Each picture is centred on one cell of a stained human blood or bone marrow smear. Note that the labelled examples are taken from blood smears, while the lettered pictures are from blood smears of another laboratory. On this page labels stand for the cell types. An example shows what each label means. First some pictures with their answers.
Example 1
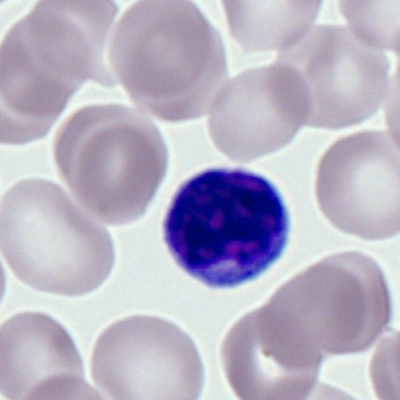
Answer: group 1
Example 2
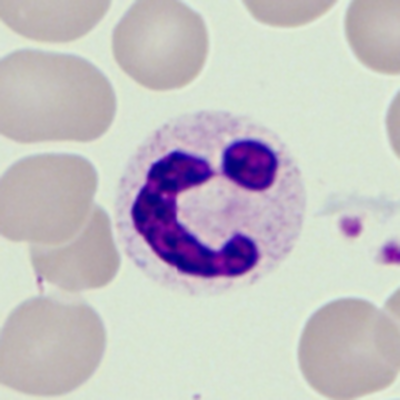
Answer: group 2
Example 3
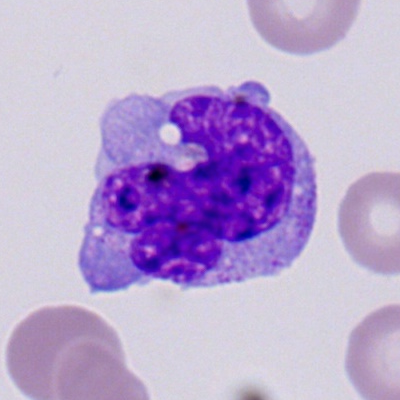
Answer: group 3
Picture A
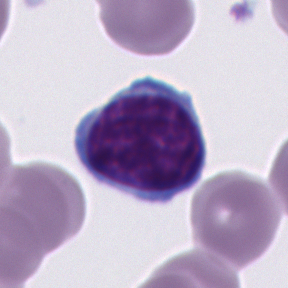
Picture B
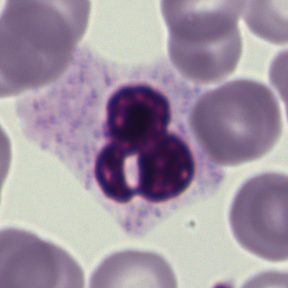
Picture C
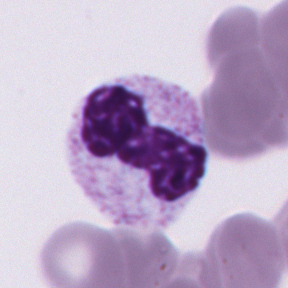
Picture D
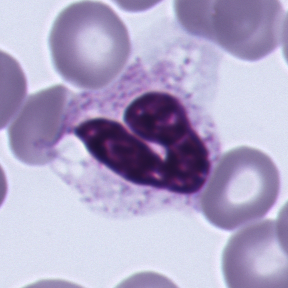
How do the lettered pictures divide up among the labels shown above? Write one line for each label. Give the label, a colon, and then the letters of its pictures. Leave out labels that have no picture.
group 1: A
group 2: B, C, D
